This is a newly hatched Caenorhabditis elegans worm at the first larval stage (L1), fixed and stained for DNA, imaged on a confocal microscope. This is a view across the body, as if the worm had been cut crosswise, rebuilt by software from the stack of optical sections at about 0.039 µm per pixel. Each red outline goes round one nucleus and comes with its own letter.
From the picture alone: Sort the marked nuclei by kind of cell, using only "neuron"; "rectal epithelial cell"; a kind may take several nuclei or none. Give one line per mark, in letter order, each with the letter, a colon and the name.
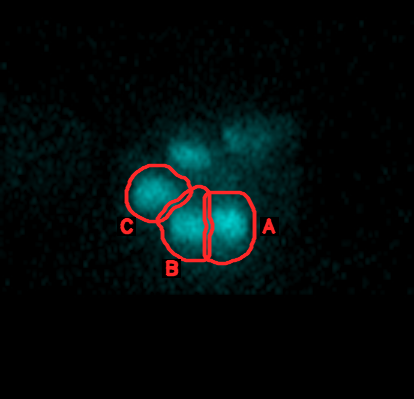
A: neuron
B: neuron
C: rectal epithelial cell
